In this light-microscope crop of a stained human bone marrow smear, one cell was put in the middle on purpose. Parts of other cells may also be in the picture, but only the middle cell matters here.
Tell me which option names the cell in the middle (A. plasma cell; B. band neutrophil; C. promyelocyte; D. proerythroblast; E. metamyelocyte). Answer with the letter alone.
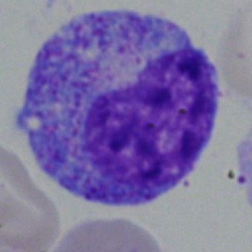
E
